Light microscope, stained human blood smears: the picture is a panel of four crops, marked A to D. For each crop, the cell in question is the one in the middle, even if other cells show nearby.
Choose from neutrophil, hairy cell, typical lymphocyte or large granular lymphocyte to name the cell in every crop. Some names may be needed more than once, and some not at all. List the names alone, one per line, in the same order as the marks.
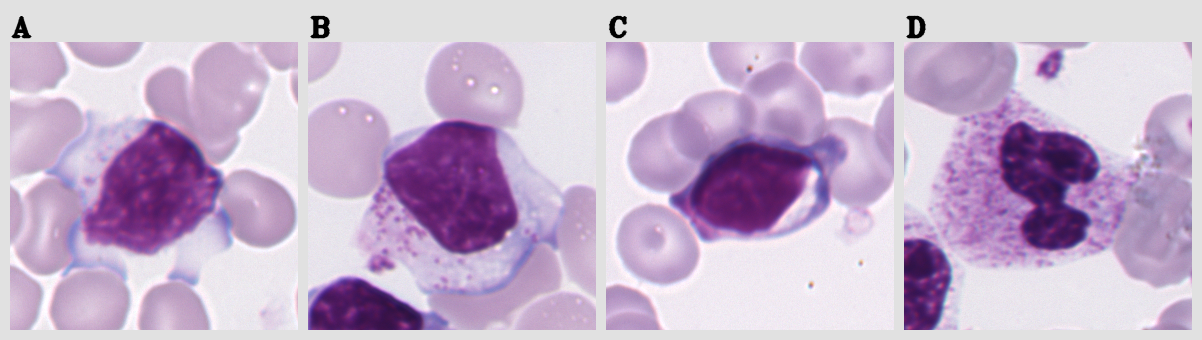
large granular lymphocyte
large granular lymphocyte
typical lymphocyte
neutrophil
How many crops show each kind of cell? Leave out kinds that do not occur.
large granular lymphocyte: 2
typical lymphocyte: 1
neutrophil: 1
